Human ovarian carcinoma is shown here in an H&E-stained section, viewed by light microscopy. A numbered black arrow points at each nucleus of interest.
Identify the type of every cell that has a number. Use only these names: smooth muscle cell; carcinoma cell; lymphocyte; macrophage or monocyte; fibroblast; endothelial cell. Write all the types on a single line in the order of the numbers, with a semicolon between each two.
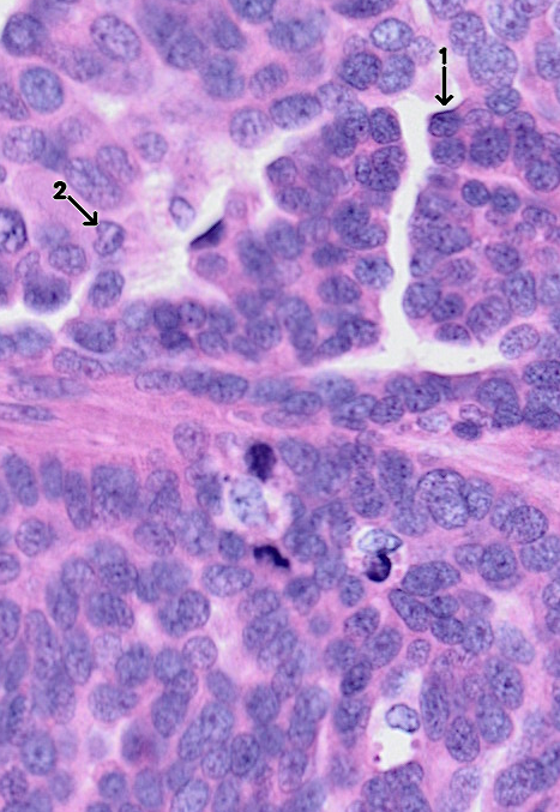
carcinoma cell; macrophage or monocyte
